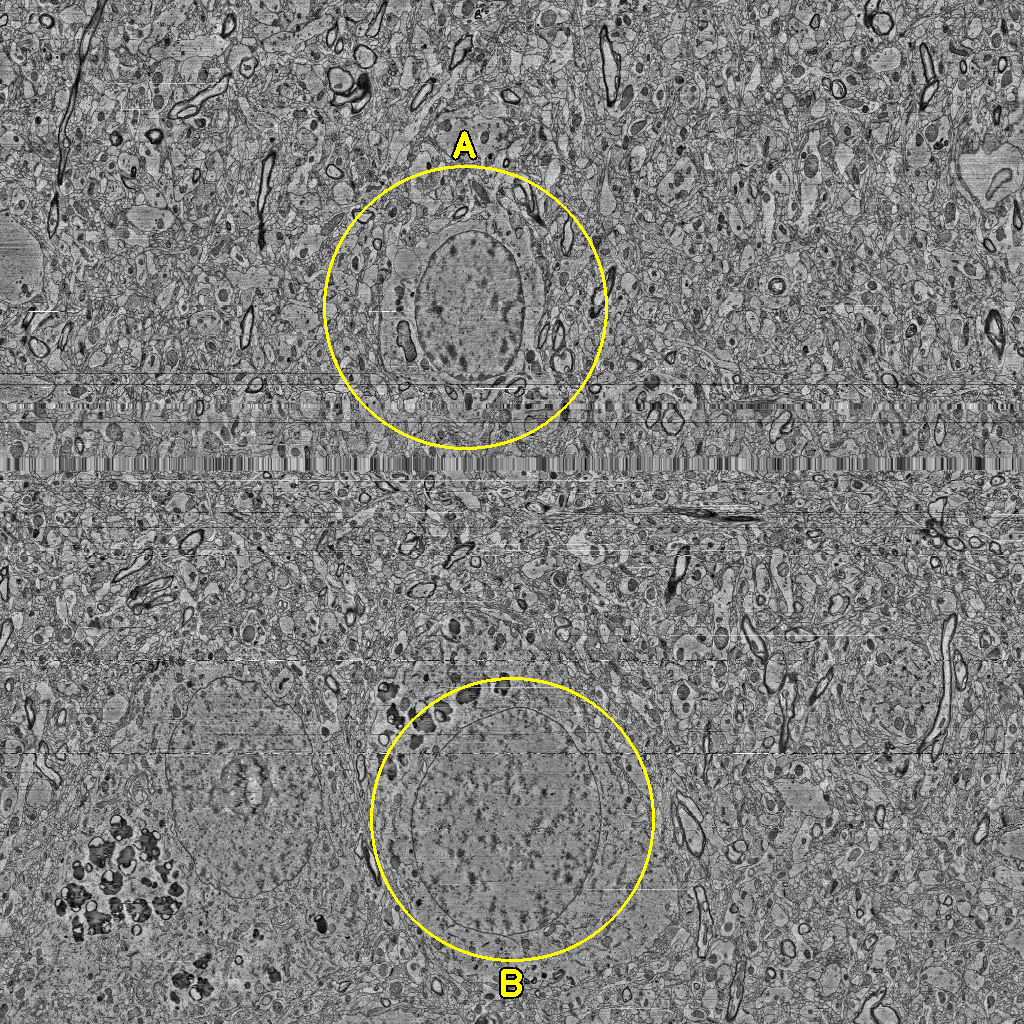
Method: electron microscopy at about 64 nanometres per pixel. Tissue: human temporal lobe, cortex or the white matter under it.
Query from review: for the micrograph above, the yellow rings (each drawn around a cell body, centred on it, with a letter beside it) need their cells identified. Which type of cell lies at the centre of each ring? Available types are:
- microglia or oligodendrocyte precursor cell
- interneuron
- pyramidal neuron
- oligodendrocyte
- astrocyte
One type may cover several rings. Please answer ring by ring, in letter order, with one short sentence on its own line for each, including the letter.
Ring A is drawn around an astrocyte.
Ring B is drawn around a pyramidal neuron.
